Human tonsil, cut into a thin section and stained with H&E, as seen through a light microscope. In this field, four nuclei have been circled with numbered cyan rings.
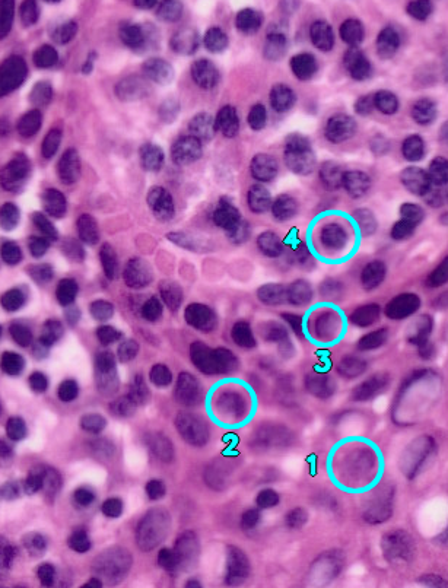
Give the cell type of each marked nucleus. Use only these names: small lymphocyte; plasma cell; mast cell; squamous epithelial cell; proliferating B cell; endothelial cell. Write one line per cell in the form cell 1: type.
cell 1: squamous epithelial cell
cell 2: squamous epithelial cell
cell 3: squamous epithelial cell
cell 4: plasma cell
